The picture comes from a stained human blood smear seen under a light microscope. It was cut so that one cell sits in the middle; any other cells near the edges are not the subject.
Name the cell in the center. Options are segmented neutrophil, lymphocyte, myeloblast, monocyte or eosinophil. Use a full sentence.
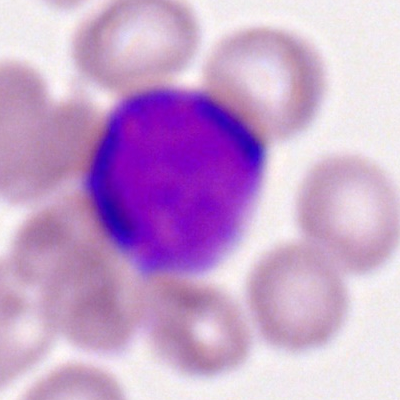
In the middle of this smear crop, the cell is a myeloblast.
